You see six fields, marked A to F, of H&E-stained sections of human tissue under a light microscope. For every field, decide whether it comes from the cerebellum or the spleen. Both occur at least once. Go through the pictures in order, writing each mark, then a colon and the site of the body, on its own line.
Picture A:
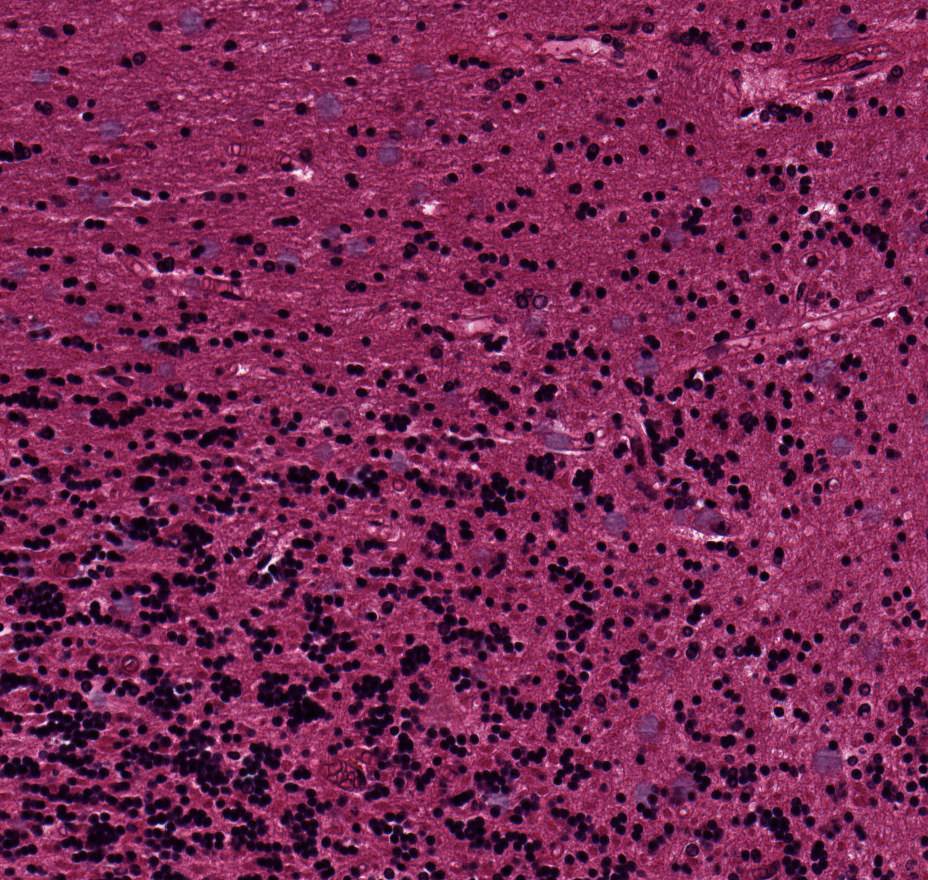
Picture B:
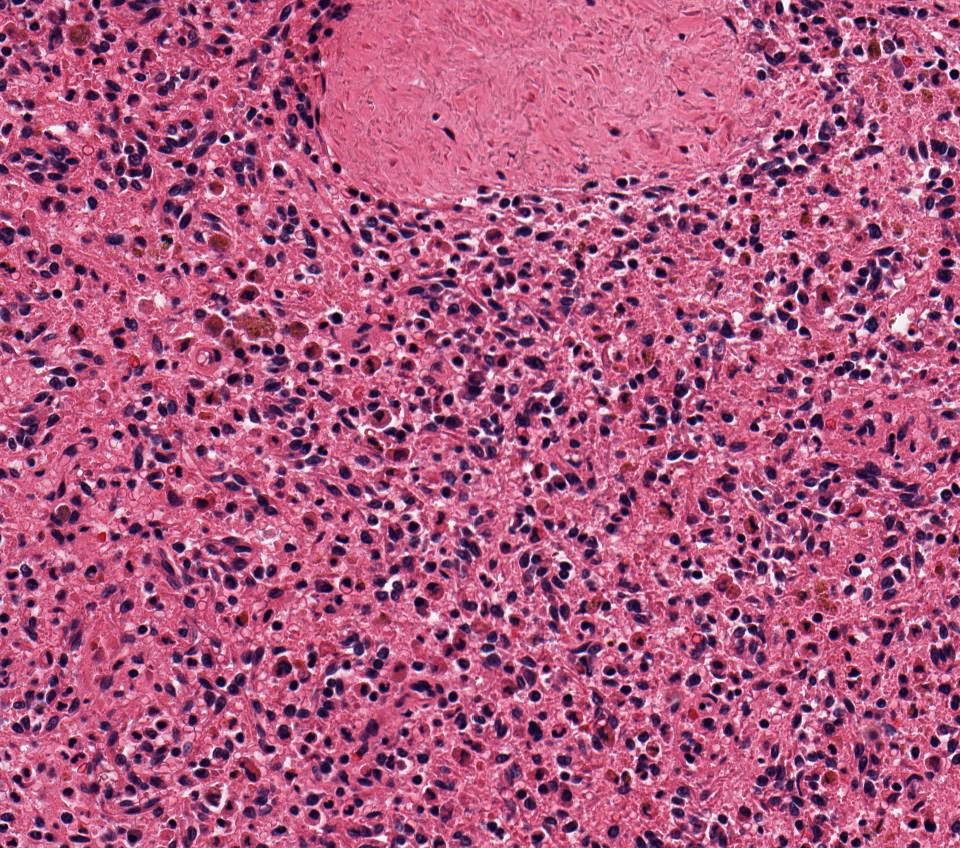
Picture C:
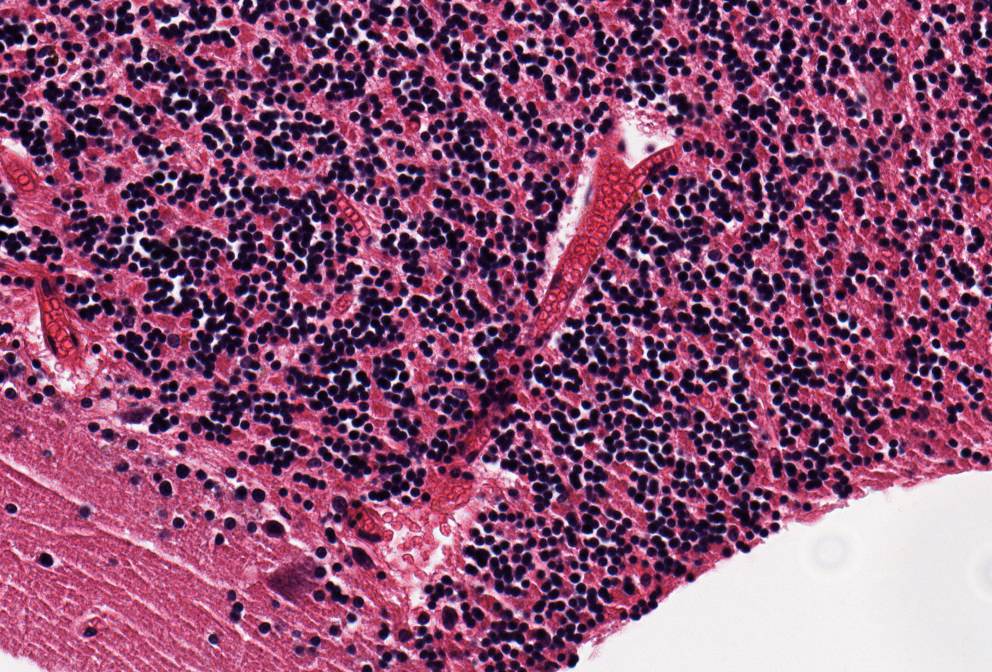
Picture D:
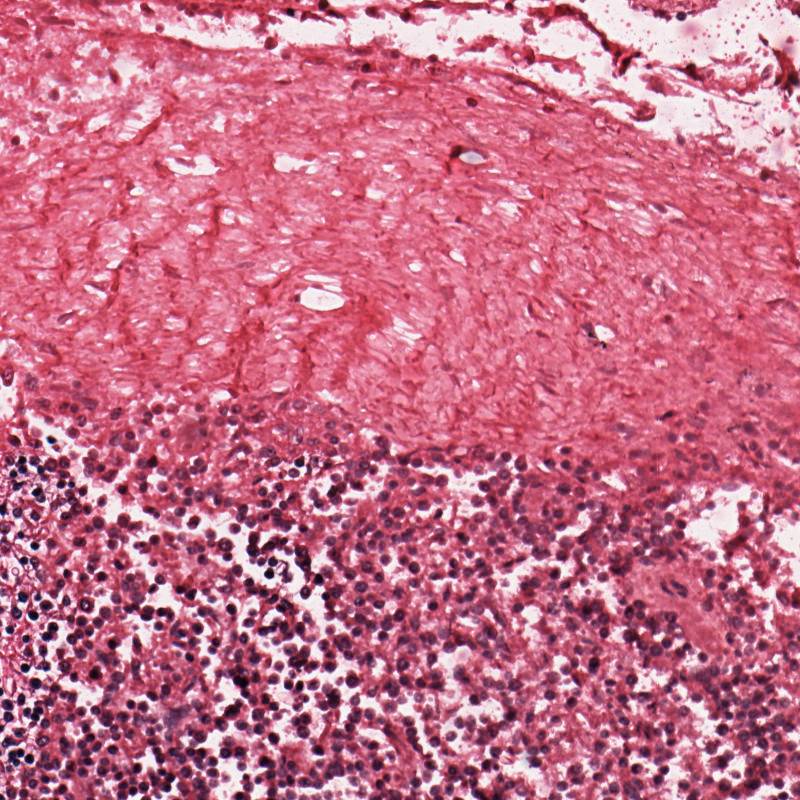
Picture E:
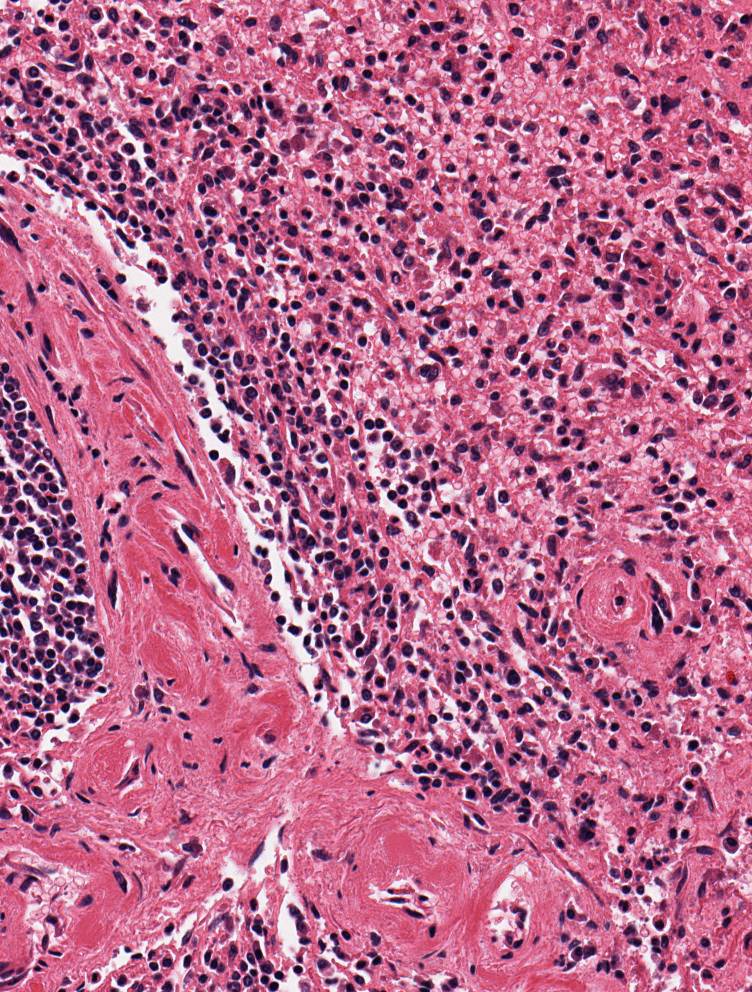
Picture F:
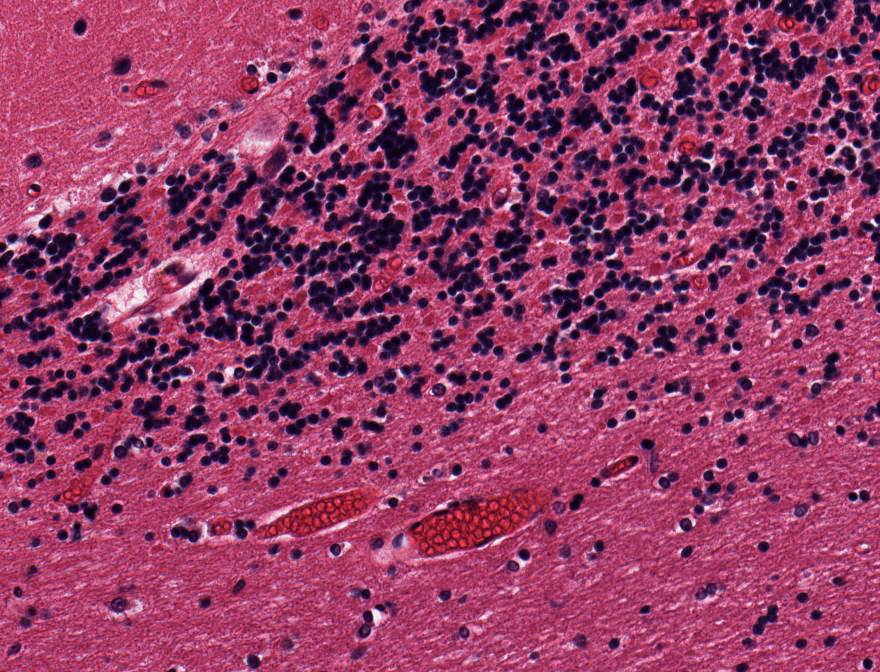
A: cerebellum
B: spleen
C: cerebellum
D: spleen
E: spleen
F: cerebellum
